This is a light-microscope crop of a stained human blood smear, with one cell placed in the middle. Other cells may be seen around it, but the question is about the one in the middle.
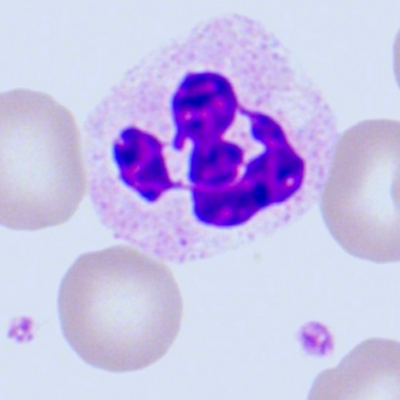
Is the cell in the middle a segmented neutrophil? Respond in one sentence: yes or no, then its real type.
Yes, the cell in the exact middle is a segmented neutrophil.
